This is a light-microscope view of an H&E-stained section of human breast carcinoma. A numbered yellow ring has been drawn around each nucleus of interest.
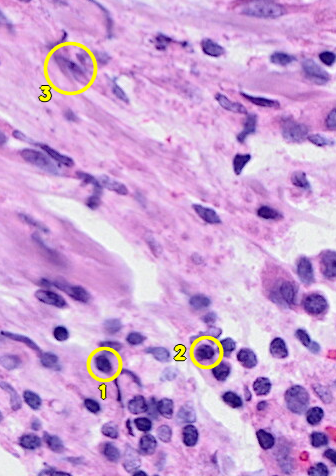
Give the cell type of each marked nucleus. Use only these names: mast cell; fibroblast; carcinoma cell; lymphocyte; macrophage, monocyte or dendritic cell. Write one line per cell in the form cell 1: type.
cell 1: lymphocyte
cell 2: lymphocyte
cell 3: fibroblast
